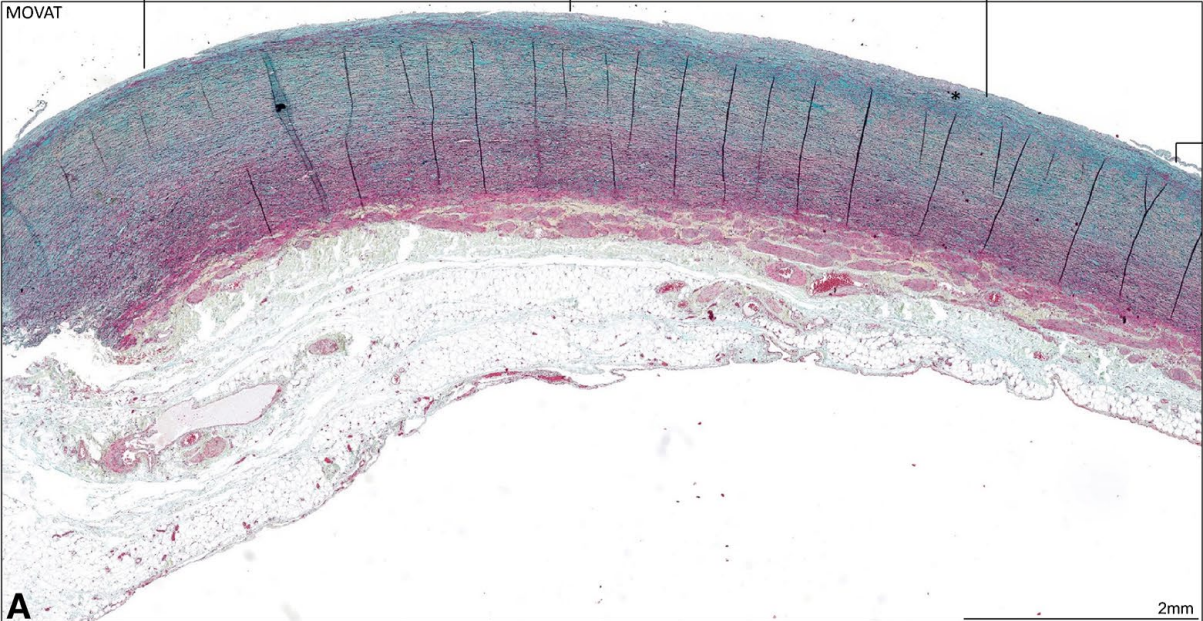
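The thick inner and middle part consists of many closely stacked, thin, dark wavy lamellae lying parallel to the surface, set in blue-green ground substance near the luminal side and turning more purple-red toward the outer side. At the luminal surface lies a thin, paler blue-green band. Thin dark lines cross the layered wall radially at fairly regular intervals. Beneath the layered wall a band of red-pink fibrous tissue follows, then a loose, pale outer layer containing clusters of round empty fat cells and small blood vessels.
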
